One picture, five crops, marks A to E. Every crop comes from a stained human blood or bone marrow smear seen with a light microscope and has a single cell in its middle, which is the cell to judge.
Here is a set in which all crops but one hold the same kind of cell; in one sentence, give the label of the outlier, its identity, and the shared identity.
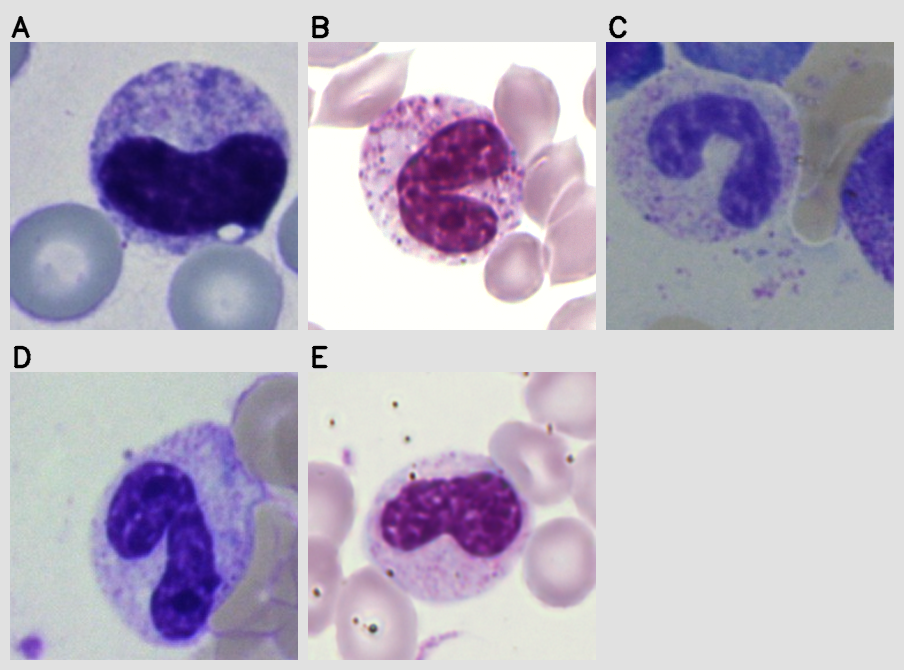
Apart from crop A, a metamyelocyte, the crops all show band neutrophils.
